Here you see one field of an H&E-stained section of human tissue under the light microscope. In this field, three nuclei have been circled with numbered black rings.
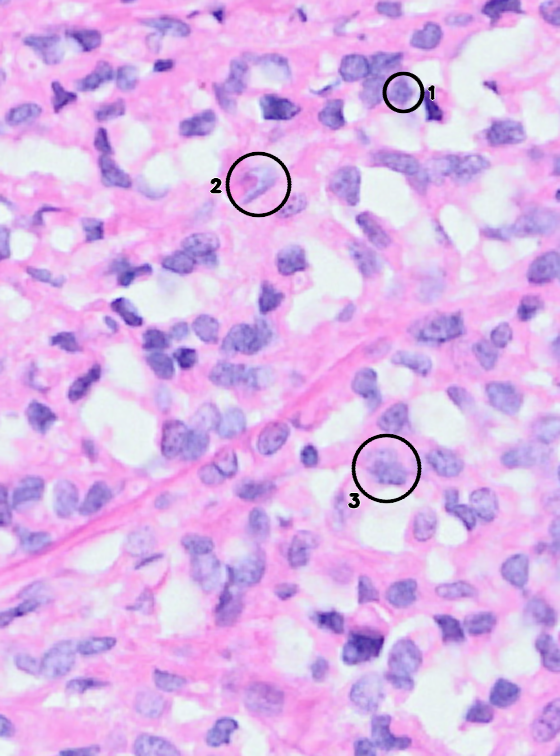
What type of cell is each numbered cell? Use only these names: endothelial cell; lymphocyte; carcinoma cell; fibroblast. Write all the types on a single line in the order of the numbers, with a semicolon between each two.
carcinoma cell; endothelial cell; carcinoma cell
